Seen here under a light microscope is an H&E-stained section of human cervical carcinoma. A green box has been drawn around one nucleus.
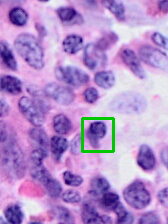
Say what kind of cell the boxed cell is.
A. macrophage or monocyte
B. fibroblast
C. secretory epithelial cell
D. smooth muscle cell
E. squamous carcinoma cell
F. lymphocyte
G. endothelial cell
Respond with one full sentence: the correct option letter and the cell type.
That the boxed cell is a lymphocyte makes option F the correct choice.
